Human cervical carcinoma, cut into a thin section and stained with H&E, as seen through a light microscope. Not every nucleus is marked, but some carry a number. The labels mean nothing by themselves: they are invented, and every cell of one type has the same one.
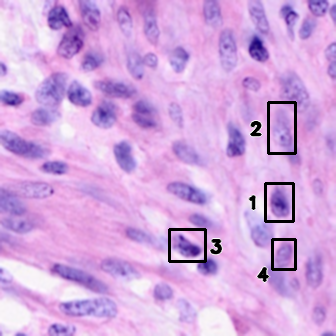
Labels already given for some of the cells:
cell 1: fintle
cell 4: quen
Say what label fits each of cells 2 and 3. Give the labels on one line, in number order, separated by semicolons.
quen; fintle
